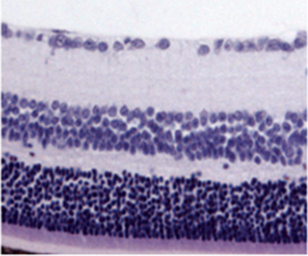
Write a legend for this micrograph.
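A cross-section of retina shows three layers of purple nuclei separated by pale pink bands. The middle layer holds several rows of medium nuclei and the bottom layer is thick with densely packed small dark nuclei.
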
